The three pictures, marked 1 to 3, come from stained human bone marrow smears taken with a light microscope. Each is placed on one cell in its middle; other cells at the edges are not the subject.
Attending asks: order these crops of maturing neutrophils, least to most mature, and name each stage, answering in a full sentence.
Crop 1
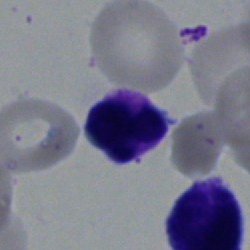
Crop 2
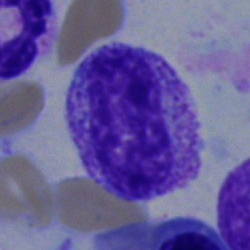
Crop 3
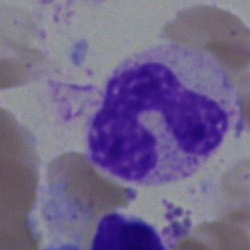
Starting with the least mature and ending with the most mature, the order is crop 2 (a myelocyte), crop 3 (a band neutrophil) and crop 1 (a segmented neutrophil).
